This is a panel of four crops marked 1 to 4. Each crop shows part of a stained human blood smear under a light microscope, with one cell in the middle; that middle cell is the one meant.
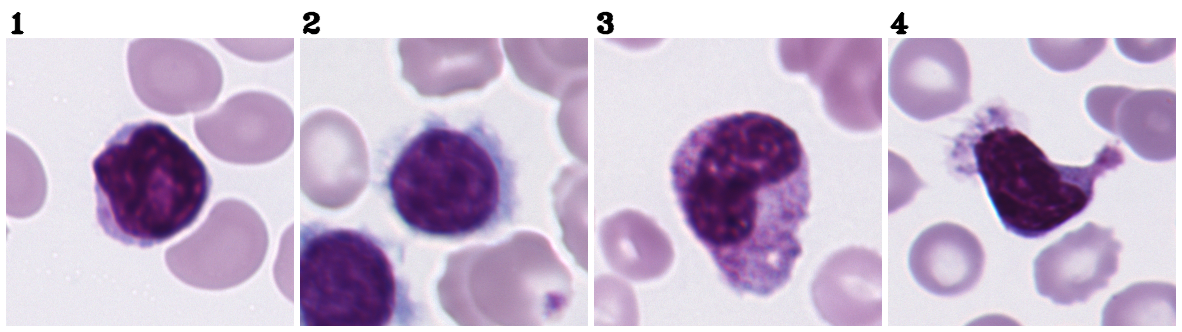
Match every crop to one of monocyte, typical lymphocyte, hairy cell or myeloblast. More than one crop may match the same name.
1: typical lymphocyte
2: hairy cell
3: monocyte
4: myeloblast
